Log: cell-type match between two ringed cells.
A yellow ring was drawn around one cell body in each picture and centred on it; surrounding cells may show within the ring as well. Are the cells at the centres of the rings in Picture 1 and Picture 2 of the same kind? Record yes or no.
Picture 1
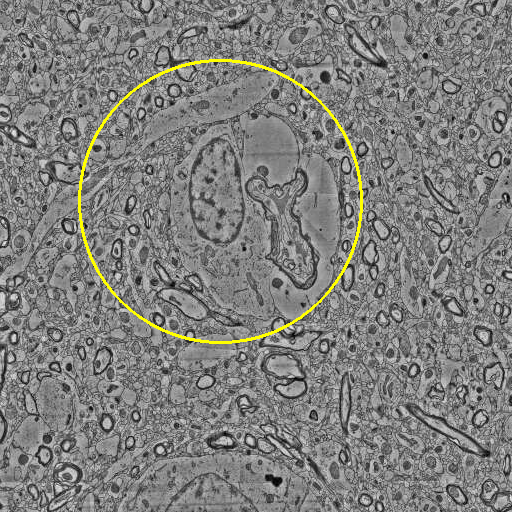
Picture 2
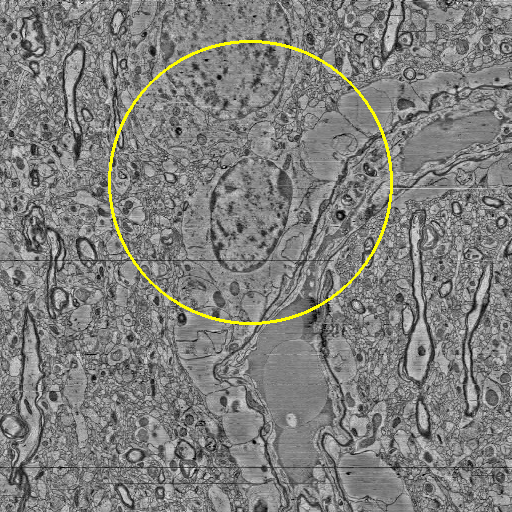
yes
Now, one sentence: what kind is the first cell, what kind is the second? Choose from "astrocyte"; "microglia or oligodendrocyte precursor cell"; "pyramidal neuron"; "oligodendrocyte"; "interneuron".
In both pictures the ring is centred on a microglial cell or oligodendrocyte precursor cell.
